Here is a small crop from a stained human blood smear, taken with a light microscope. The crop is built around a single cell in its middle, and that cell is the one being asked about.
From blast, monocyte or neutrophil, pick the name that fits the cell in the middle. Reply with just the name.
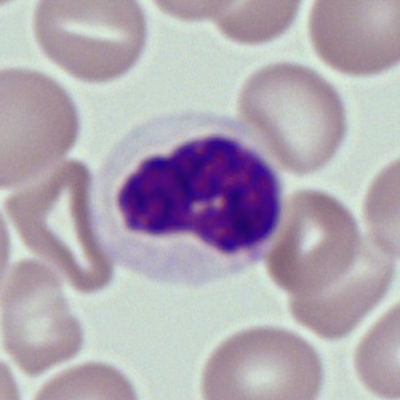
neutrophil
